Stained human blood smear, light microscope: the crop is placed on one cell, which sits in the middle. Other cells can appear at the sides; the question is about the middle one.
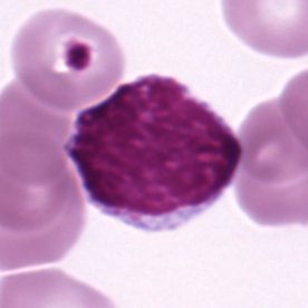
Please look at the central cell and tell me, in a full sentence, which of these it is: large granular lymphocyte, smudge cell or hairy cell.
The cell found in the middle of this crop is a large granular lymphocyte.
